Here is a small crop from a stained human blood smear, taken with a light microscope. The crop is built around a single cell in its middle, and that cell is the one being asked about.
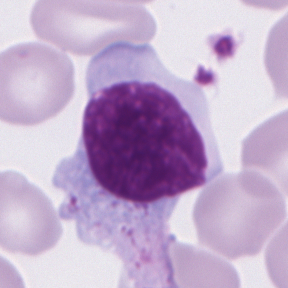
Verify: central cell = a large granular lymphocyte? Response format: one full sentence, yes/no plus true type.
Yes, the cell positioned at the centre of the crop is a large granular lymphocyte.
